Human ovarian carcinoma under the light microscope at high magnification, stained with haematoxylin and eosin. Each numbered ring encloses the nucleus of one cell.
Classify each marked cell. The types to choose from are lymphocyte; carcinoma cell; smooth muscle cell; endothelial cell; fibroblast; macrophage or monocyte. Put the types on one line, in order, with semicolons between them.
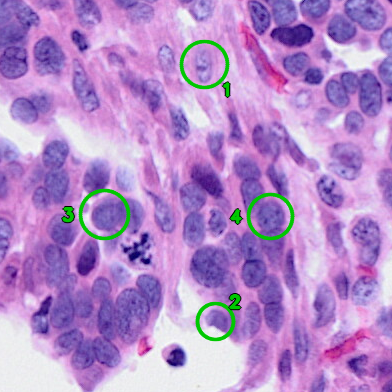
fibroblast; carcinoma cell; carcinoma cell; carcinoma cell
